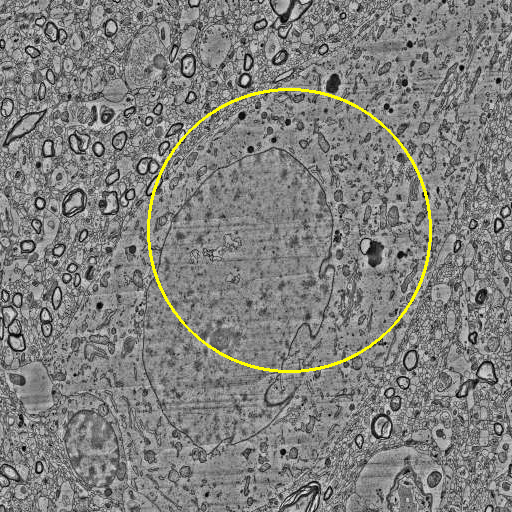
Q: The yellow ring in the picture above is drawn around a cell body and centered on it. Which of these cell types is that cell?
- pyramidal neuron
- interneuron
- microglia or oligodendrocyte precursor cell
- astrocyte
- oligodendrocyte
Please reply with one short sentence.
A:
The cell body at the ring's center belongs to a pyramidal neuron.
